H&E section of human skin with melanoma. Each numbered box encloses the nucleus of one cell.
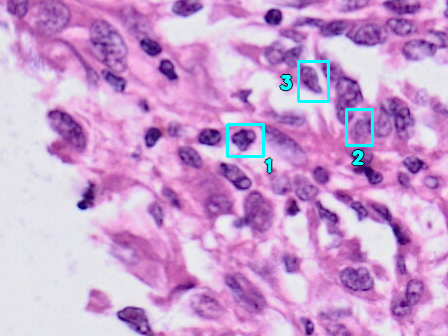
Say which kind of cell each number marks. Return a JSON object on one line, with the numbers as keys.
{"1": "lymphocyte", "2": "melanoma cell", "3": "melanoma cell"}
